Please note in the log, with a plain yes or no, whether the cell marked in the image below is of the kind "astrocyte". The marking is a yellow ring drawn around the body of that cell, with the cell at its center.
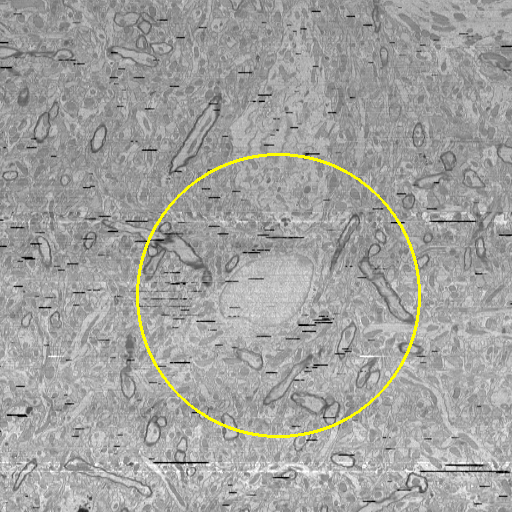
yes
